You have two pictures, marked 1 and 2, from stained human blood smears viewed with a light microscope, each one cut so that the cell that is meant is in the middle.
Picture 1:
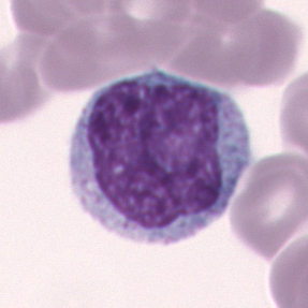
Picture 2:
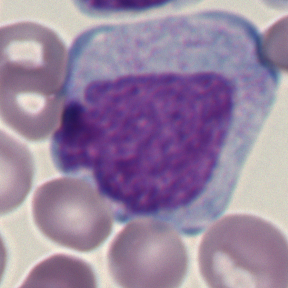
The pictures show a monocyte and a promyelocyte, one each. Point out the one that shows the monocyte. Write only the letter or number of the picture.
1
